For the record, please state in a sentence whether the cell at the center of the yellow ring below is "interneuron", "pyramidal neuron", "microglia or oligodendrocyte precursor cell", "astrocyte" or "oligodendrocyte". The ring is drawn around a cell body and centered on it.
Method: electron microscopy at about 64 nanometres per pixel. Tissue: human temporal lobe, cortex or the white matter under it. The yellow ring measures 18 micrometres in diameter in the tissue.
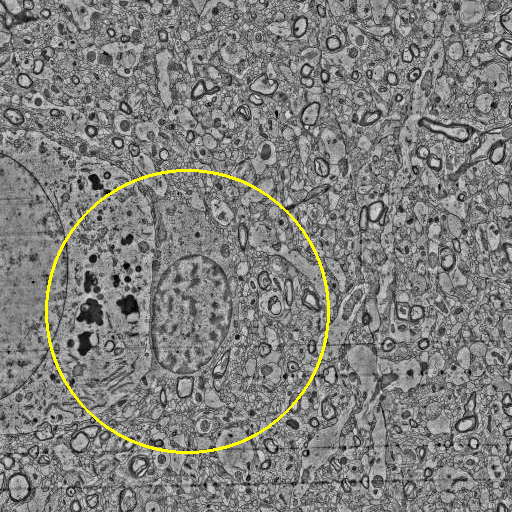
The cell at the ring's center is an oligodendrocyte.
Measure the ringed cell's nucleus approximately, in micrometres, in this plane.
About 8 by 5 micrometers; the nucleus is clearly longer than it is wide in this plane.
